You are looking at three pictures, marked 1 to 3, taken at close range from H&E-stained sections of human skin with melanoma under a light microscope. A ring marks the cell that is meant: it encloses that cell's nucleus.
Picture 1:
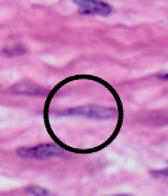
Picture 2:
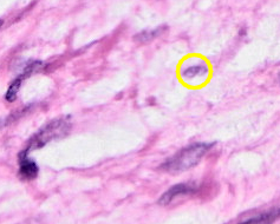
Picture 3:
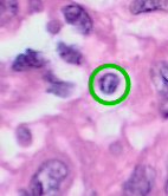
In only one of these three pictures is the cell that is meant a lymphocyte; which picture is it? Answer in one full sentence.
The lymphocyte is the one in picture 3.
